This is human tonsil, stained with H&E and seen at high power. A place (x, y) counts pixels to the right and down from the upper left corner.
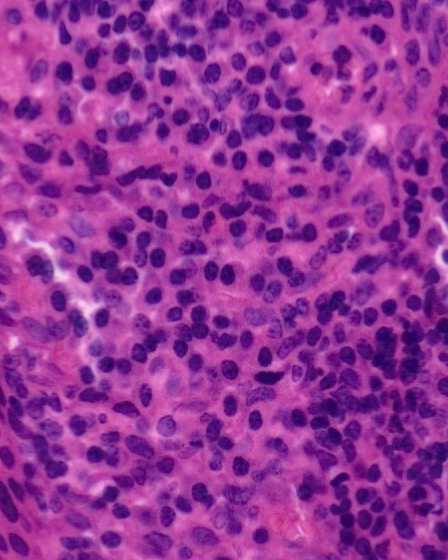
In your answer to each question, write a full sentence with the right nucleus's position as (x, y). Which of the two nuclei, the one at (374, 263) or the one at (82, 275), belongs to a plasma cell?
The nucleus at (82, 275), rather than the other, belongs to a plasma cell.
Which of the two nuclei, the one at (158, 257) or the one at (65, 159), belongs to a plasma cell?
The nucleus situated at (158, 257) is the one belonging to a plasma cell.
